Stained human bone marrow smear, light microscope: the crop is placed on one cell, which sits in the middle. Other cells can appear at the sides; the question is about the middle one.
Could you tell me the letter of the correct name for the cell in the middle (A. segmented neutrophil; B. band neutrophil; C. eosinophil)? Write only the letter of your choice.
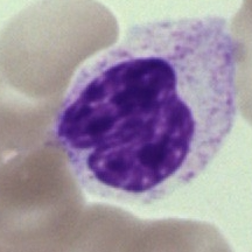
A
